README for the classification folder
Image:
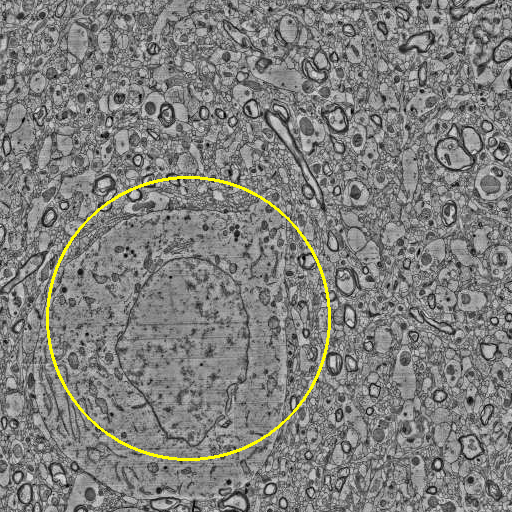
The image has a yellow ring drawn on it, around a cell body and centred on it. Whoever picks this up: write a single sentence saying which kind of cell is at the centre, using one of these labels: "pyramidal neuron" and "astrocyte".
This cell body is that of a pyramidal neuron.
